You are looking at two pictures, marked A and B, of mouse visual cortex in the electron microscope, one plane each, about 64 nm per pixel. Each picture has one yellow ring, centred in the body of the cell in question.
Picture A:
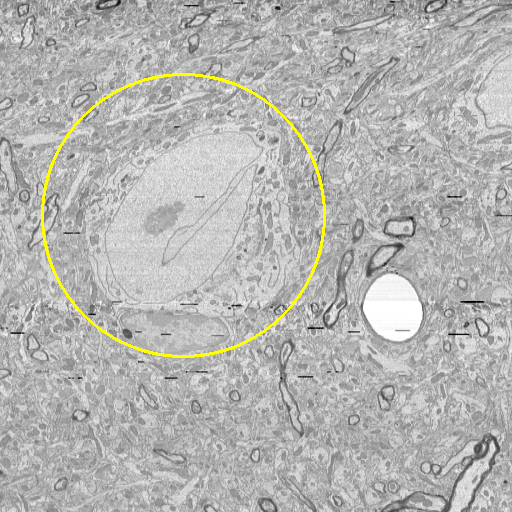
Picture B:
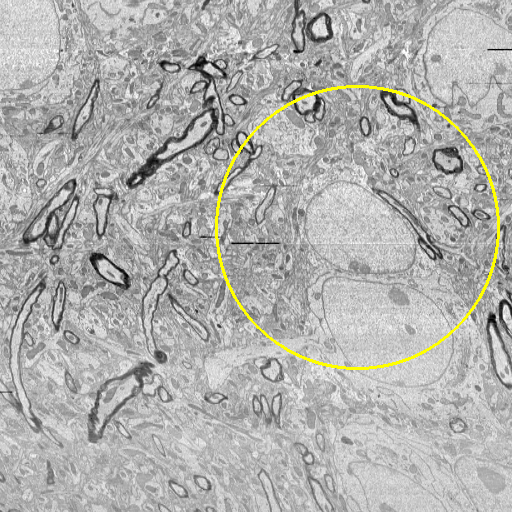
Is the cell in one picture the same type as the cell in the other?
No, the types are not the same, since picture A shows an excitatory neuron and picture B an astrocyte.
